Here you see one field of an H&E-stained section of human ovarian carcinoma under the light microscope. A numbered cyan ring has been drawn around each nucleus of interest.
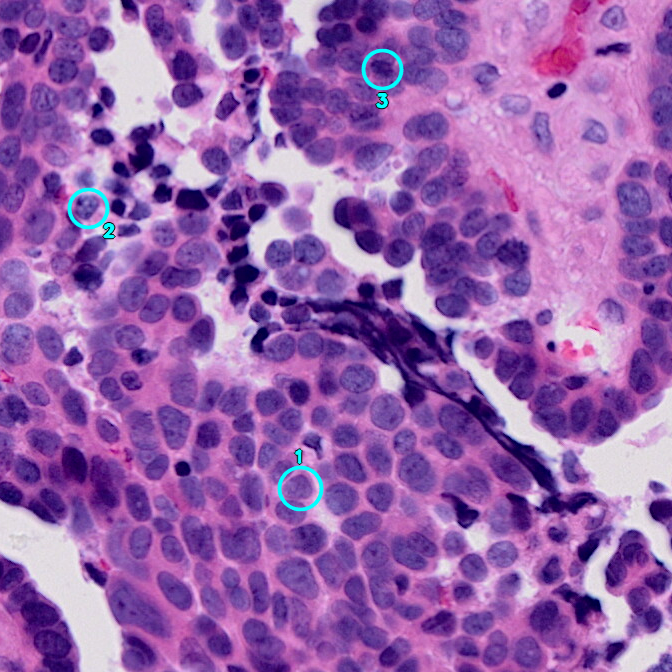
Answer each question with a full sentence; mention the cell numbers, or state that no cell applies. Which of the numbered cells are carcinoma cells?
Cells 1 and 3 are carcinoma cells by cell type.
